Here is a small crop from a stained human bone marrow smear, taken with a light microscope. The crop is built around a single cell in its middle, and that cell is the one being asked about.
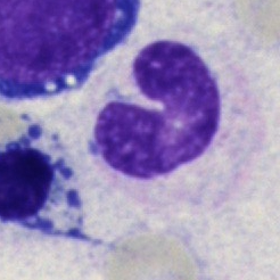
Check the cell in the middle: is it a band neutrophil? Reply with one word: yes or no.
yes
